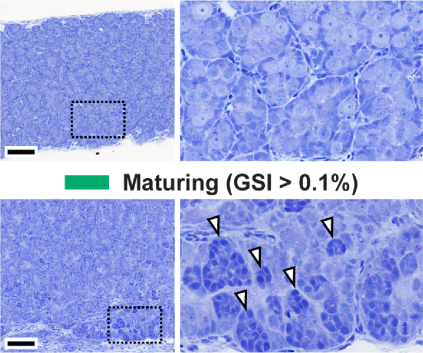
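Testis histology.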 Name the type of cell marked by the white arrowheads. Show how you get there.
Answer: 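The arrowheads point to tight clusters of small cells. The cells in these clusters have dark blue, densely stained nuclei. These clusters contrast with the larger, paler germ cells nearby.
Conclusion: type B spermatogonia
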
